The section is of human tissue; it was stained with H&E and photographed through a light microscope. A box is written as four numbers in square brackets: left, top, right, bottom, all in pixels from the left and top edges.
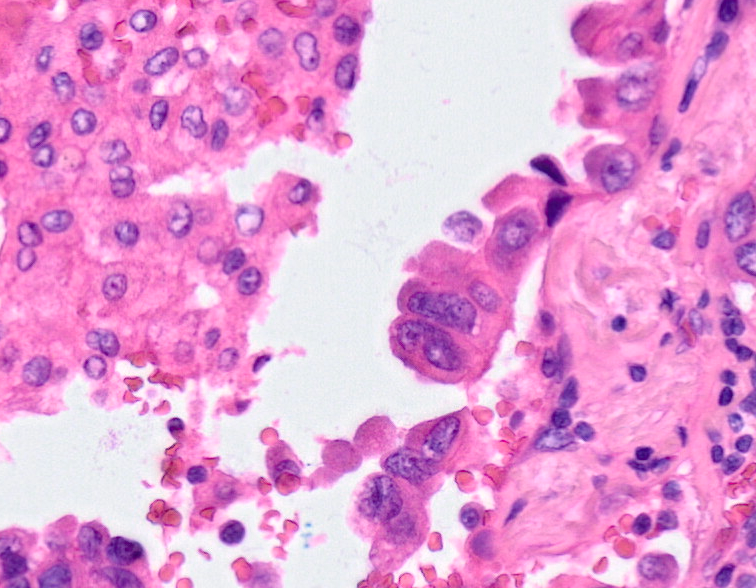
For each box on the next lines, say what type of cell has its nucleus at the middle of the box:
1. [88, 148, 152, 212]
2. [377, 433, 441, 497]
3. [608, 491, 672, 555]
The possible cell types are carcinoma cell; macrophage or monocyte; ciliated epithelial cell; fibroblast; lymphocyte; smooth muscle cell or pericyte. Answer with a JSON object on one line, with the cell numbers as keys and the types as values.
{"1": "macrophage or monocyte", "2": "carcinoma cell", "3": "lymphocyte"}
